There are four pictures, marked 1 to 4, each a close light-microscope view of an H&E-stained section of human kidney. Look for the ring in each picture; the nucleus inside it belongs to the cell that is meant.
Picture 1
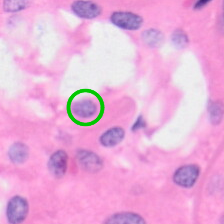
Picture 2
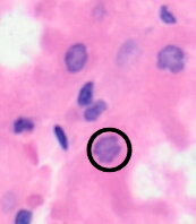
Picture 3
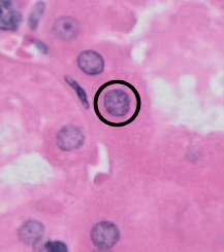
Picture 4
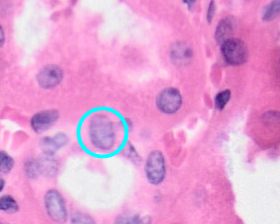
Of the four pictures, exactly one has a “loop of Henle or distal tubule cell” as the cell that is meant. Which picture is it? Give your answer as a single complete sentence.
The “loop of Henle or distal tubule cell” is the one in picture 1.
